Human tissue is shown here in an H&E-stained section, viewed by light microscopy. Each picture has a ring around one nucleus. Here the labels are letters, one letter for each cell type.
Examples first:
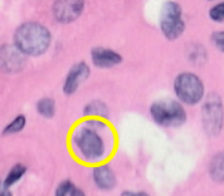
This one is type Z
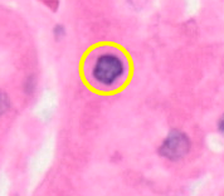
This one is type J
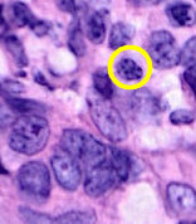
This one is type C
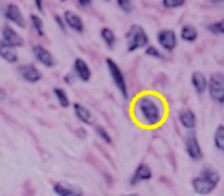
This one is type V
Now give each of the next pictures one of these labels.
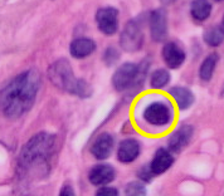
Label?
type C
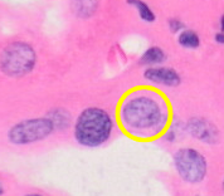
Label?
type Z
